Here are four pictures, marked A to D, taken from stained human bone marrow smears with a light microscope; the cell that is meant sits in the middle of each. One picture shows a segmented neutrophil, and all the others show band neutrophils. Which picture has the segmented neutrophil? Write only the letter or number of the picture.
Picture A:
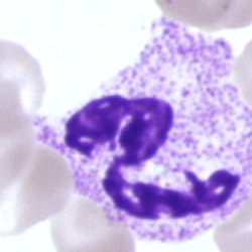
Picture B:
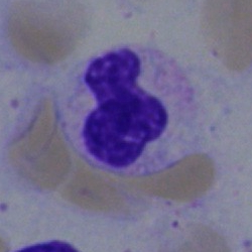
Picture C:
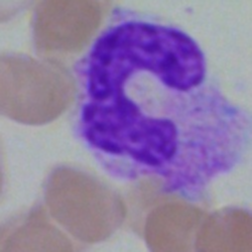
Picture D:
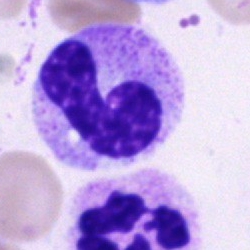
A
